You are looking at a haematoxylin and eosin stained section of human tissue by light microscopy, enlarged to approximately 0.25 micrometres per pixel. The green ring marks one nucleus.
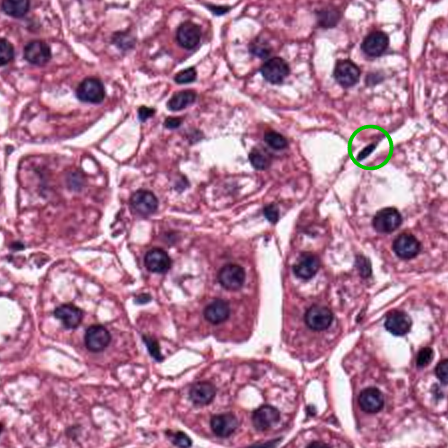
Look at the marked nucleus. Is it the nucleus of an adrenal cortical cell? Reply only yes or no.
no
